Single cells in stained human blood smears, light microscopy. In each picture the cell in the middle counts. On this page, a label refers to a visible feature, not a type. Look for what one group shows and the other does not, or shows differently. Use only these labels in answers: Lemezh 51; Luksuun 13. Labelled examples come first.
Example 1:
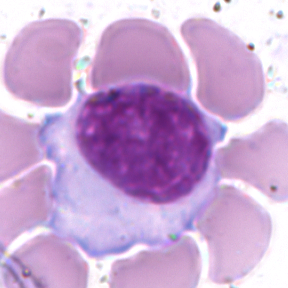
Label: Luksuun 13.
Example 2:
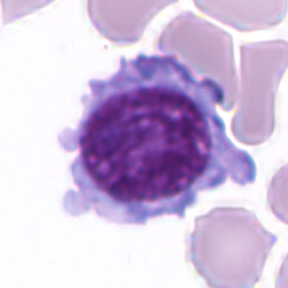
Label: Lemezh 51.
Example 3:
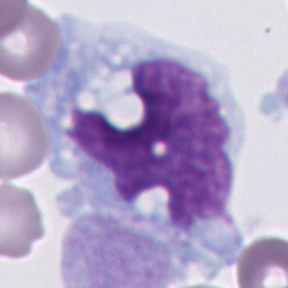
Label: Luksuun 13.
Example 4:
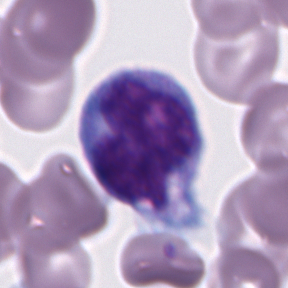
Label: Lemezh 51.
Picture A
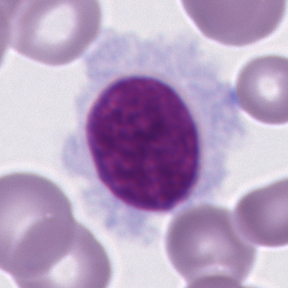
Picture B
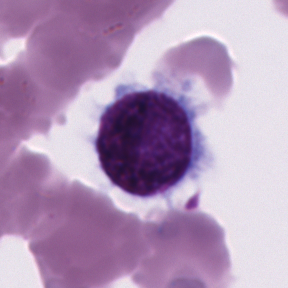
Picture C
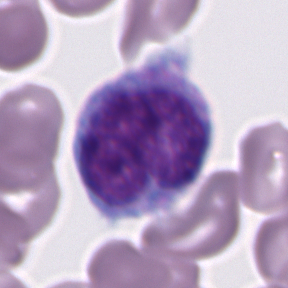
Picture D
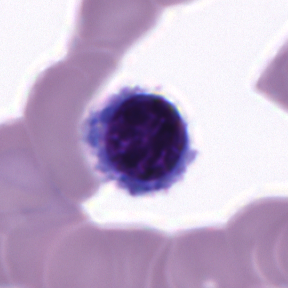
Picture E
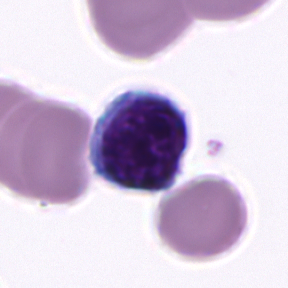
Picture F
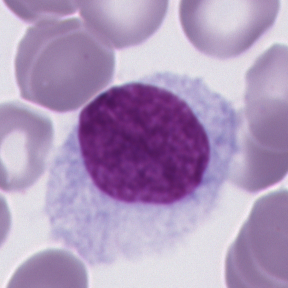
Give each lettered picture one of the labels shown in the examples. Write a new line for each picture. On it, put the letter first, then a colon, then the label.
A: Luksuun 13.
B: Lemezh 51.
C: Lemezh 51.
D: Lemezh 51.
E: Lemezh 51.
F: Luksuun 13.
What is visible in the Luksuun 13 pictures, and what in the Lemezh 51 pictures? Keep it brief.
In Luksuun 13: abundant cytoplasm. In Lemezh 51: scant cytoplasm.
